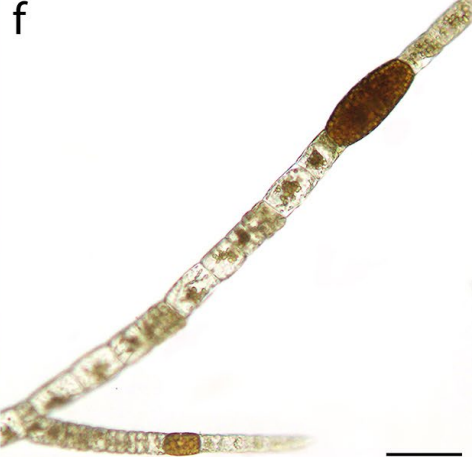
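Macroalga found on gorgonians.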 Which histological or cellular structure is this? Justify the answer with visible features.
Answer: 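A dark brown, oval swelling sits within the row of cells of a filament, with ordinary cells on both sides. A second, smaller brown segment lies within the lower filament. The brown swellings are finely granular, unlike the pale neighbouring cells. On this evidence: intercalary plurilocular sporangia.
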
